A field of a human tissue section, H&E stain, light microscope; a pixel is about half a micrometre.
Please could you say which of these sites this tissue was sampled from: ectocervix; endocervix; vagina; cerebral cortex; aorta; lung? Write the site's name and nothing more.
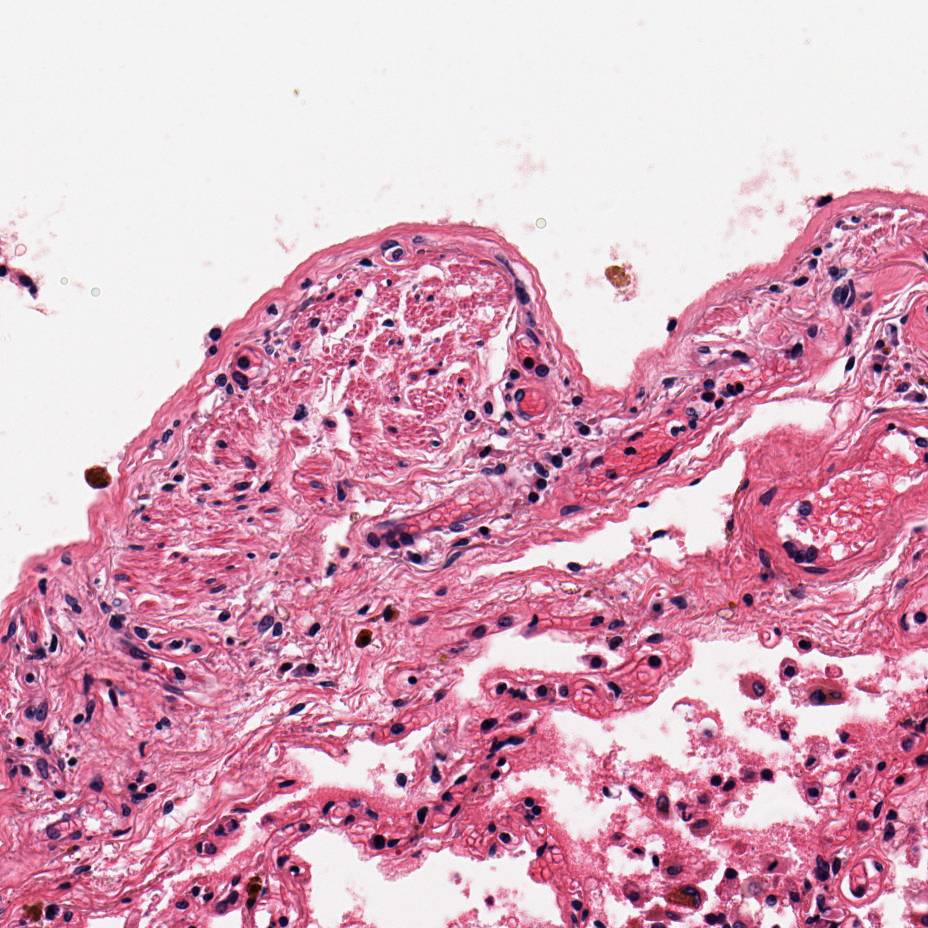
lung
